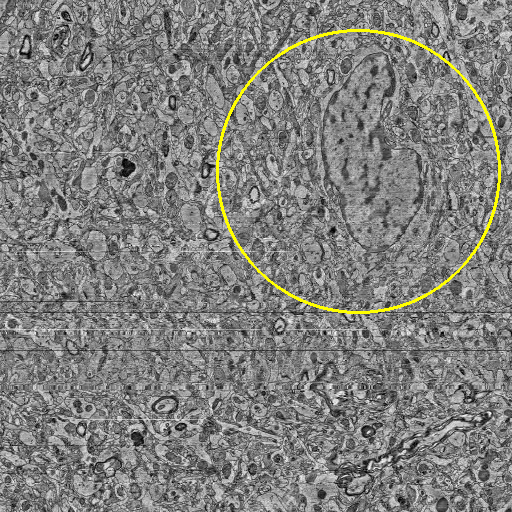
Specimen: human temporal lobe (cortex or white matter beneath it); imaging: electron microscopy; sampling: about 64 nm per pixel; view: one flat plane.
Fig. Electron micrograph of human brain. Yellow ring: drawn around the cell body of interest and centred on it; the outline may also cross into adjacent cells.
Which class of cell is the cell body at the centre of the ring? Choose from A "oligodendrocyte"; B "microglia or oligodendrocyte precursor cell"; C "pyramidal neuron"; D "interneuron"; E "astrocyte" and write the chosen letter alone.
B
